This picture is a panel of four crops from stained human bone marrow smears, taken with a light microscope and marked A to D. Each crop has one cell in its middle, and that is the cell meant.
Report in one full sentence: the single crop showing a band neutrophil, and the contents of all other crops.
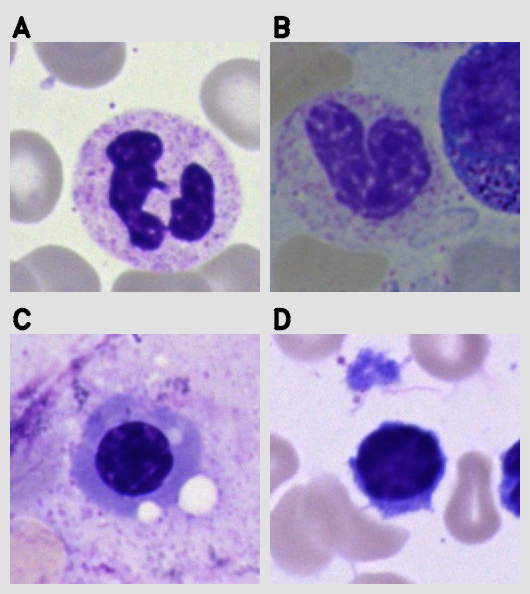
Crop B presents a band neutrophil at its centre, whereas crop A is a segmented neutrophil, crop C is an erythroblast and crop D is a lymphocyte.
